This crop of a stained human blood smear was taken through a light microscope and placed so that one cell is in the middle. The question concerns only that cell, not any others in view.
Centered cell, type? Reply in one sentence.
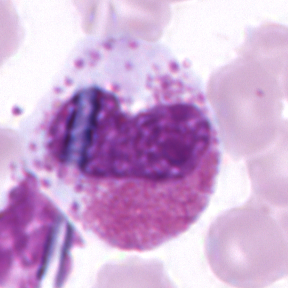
The center cell of this crop is an eosinophil.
